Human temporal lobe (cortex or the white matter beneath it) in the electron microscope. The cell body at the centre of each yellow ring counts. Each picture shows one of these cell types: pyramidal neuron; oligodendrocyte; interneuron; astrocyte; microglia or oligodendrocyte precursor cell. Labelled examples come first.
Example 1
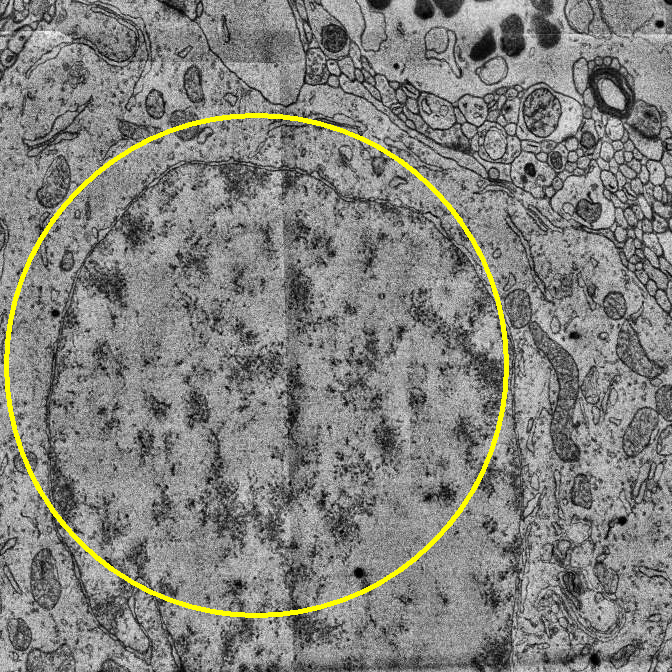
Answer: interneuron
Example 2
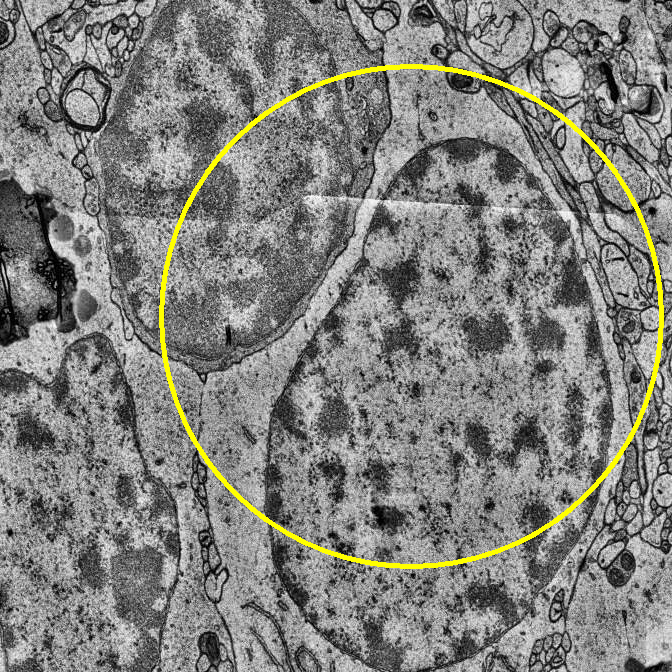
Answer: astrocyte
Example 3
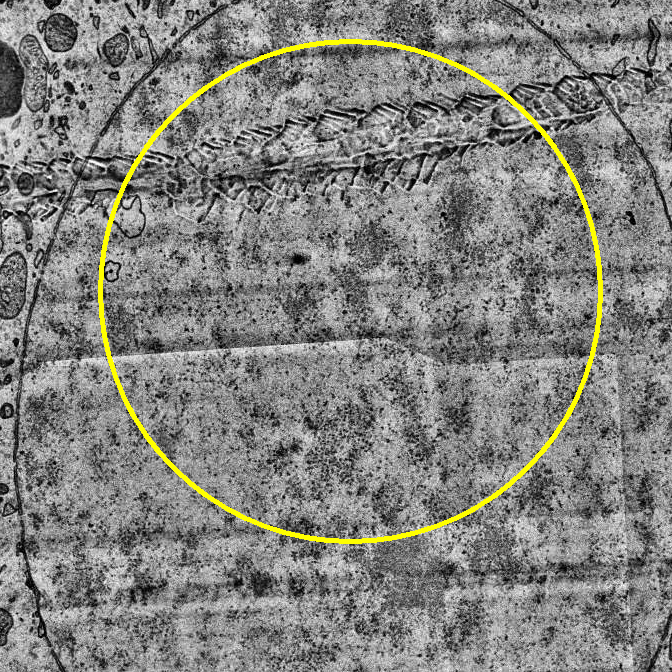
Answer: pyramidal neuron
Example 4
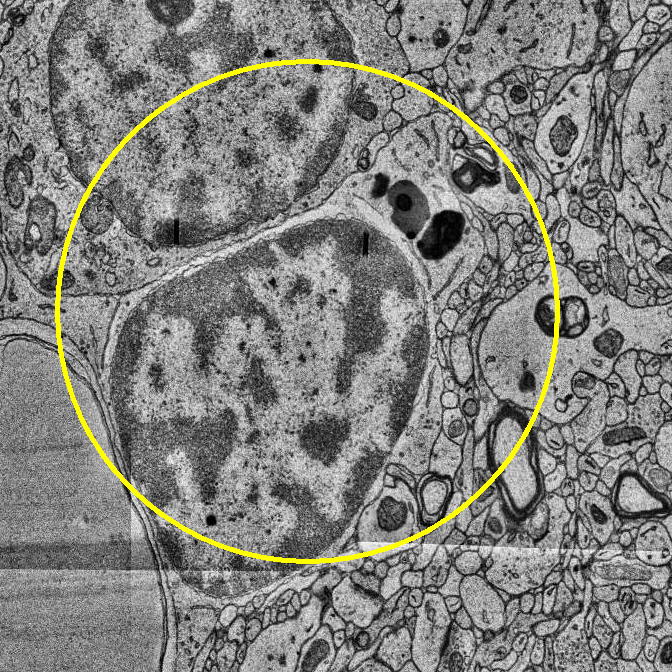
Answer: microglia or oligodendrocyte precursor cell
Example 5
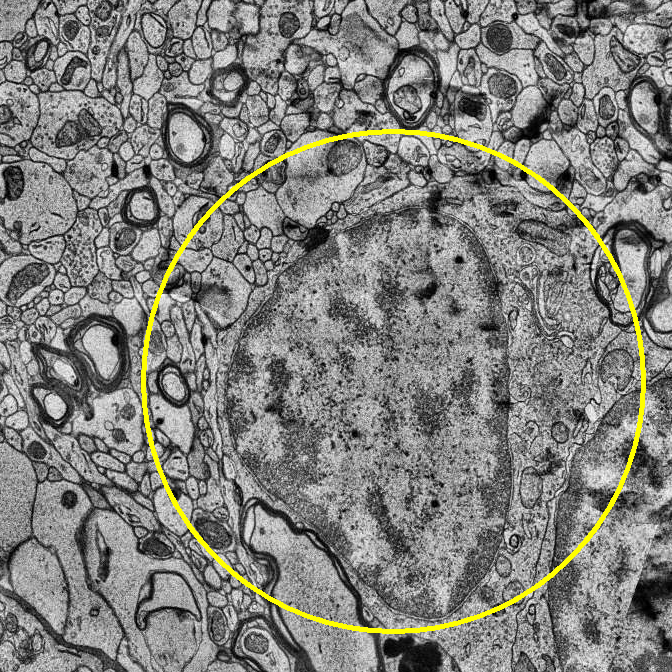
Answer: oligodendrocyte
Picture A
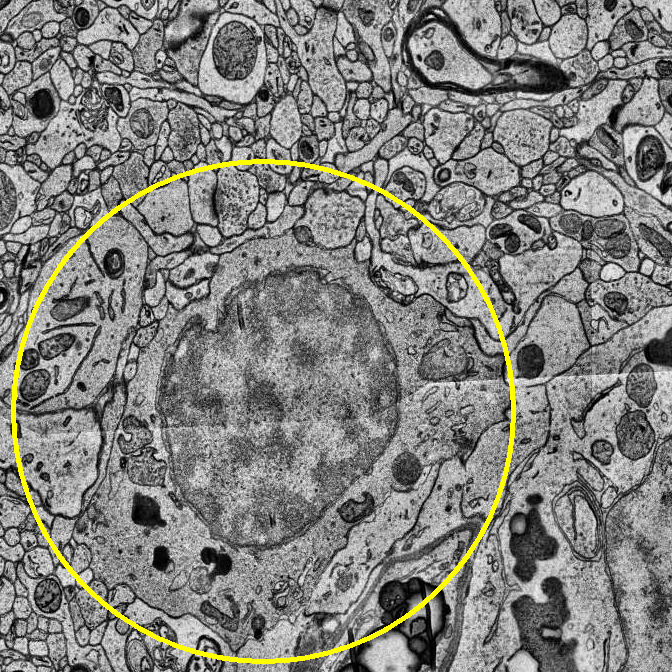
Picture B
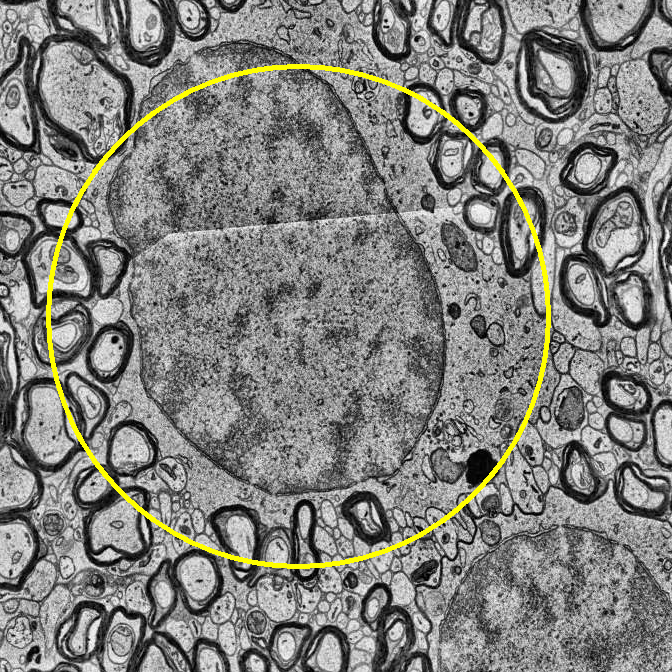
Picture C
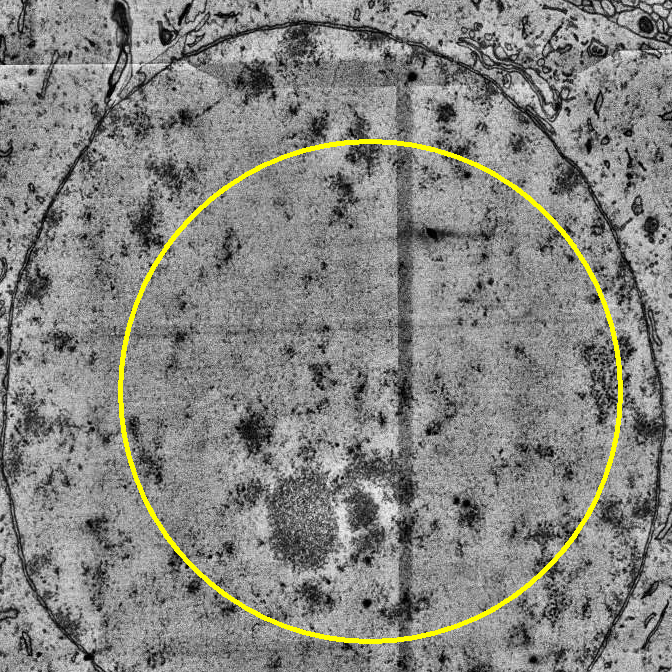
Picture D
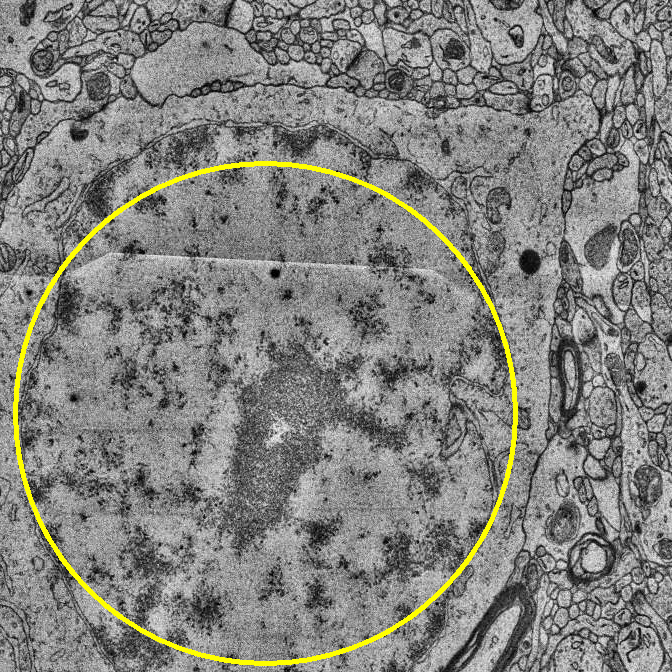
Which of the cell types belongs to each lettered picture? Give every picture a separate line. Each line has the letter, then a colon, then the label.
A: oligodendrocyte
B: oligodendrocyte
C: pyramidal neuron
D: interneuron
